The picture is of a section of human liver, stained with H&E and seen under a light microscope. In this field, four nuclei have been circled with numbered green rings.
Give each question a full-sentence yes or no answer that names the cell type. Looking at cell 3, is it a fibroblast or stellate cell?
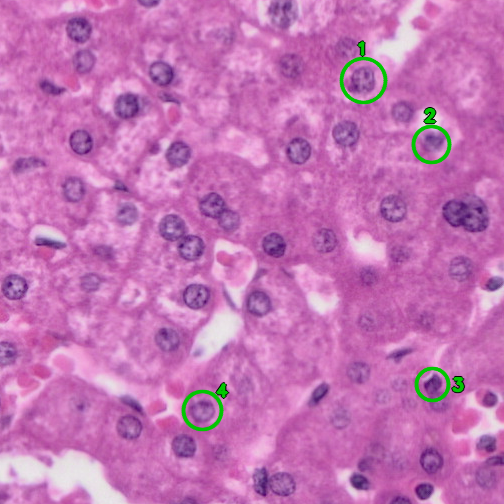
Yes, looking at number 3, that cell is a fibroblast or stellate cell.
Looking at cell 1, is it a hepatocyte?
Yes, the cell with the number 1 is a hepatocyte.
